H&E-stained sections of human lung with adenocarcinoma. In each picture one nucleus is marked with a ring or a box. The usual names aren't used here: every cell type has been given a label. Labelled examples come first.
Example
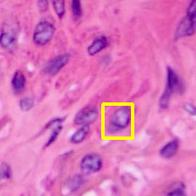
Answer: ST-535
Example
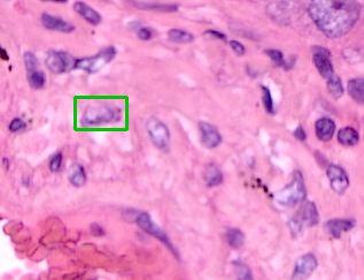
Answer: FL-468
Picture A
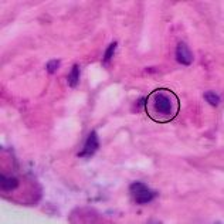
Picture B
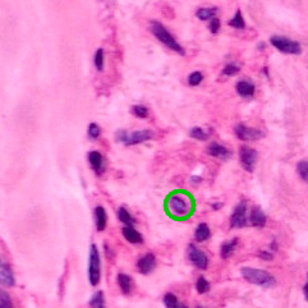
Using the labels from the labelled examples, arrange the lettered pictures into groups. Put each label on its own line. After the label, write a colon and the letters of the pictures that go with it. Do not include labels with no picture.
ST-535: A, B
